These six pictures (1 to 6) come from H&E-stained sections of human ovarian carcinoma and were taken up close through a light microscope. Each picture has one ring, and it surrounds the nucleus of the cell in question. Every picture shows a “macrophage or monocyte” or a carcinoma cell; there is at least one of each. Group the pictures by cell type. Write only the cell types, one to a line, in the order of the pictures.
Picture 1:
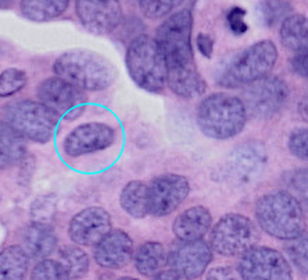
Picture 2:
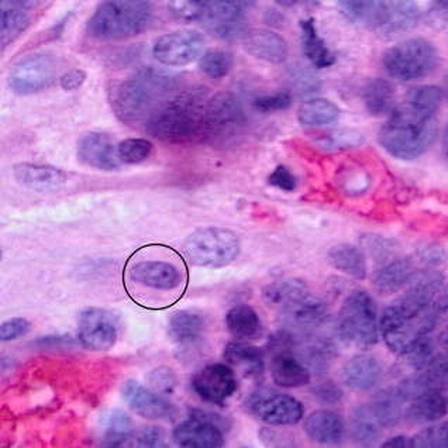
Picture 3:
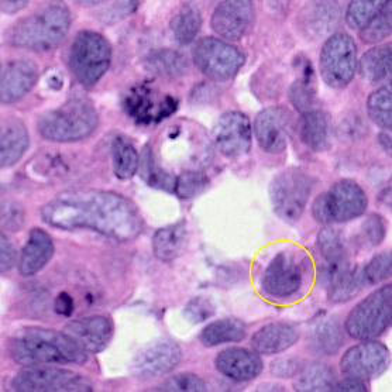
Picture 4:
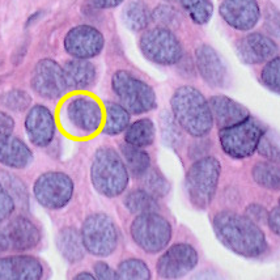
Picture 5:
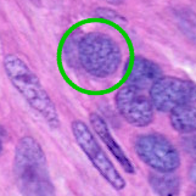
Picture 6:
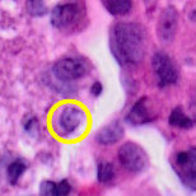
macrophage or monocyte
macrophage or monocyte
carcinoma cell
carcinoma cell
carcinoma cell
macrophage or monocyte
